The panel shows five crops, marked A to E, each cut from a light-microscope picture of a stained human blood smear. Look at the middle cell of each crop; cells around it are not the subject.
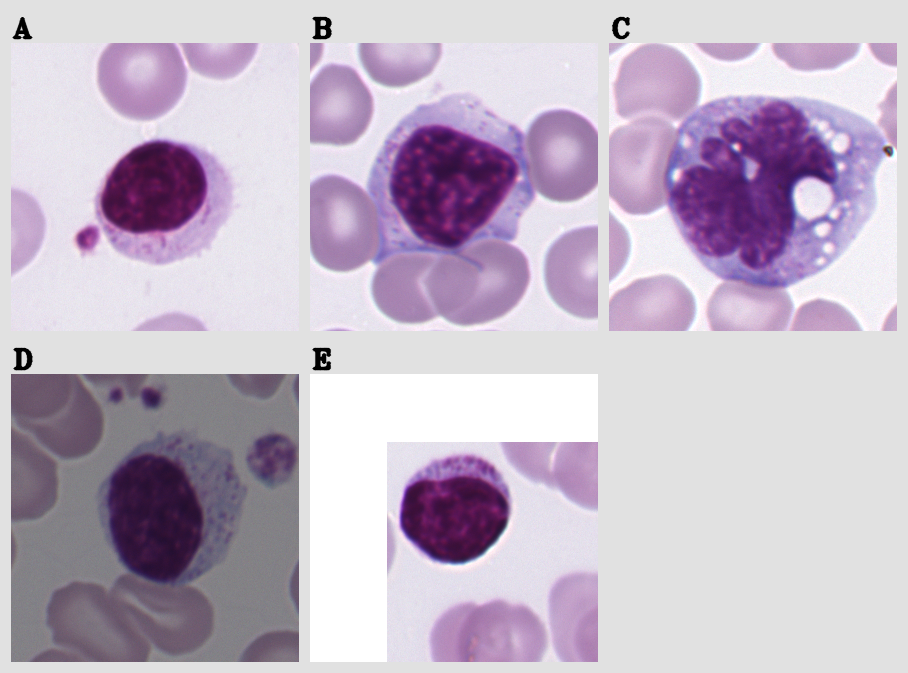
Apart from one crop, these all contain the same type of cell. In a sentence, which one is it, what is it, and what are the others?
Crop C is the one to flag: it is a monocyte, and the rest show large granular lymphocytes.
